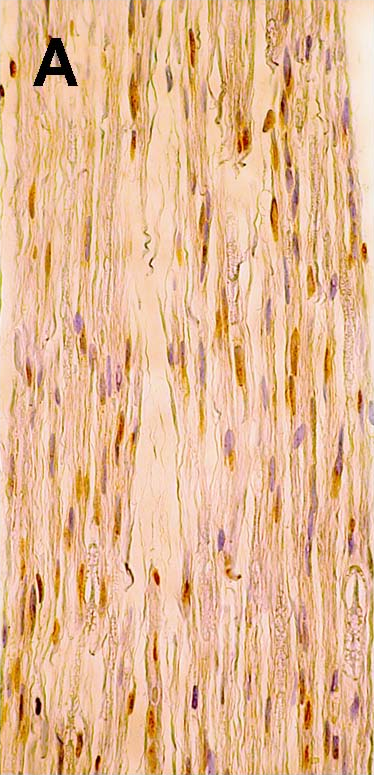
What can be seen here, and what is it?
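This is a peripheral nerve cut lengthwise, with long, wavy nerve fibres running in parallel. Many elongated, spindle-shaped nuclei lying along the fibres, those of Schwann cells, are stained brown, while other nuclei stay blue from the counterstain.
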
